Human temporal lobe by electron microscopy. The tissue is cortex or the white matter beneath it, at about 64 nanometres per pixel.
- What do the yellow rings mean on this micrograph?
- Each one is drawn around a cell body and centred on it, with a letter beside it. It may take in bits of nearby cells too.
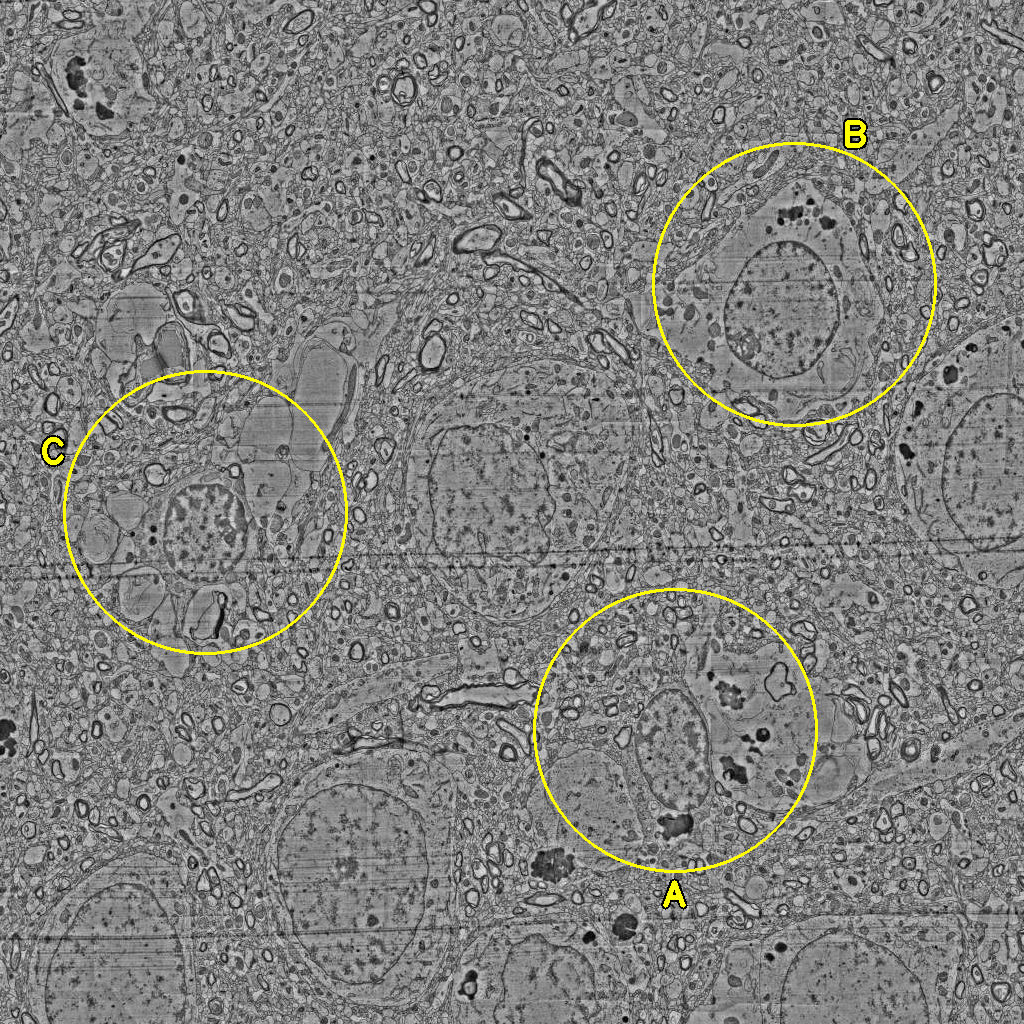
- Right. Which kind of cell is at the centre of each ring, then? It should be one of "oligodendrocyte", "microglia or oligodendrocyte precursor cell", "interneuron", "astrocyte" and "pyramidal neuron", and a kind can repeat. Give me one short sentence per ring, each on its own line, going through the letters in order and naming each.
Ring A circles the cell body of an oligodendrocyte.
Ring B circles the cell body of an astrocyte.
Ring C circles the cell body of an oligodendrocyte.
